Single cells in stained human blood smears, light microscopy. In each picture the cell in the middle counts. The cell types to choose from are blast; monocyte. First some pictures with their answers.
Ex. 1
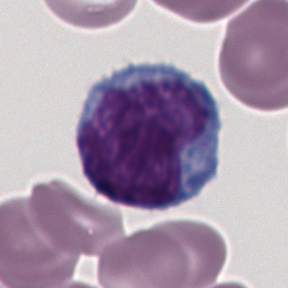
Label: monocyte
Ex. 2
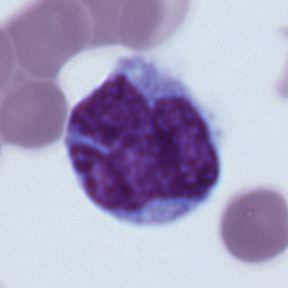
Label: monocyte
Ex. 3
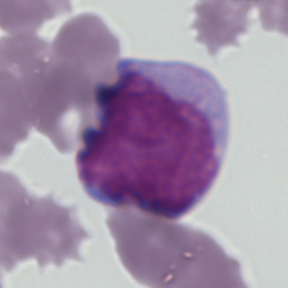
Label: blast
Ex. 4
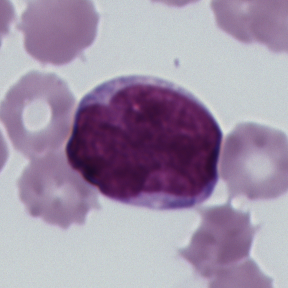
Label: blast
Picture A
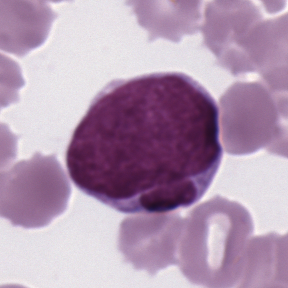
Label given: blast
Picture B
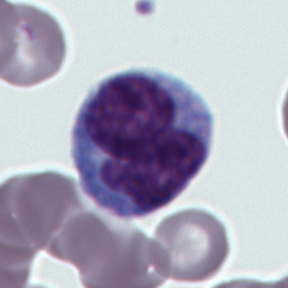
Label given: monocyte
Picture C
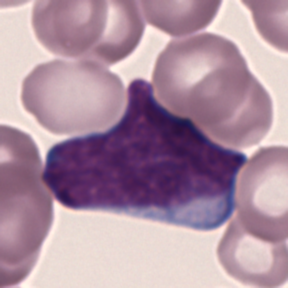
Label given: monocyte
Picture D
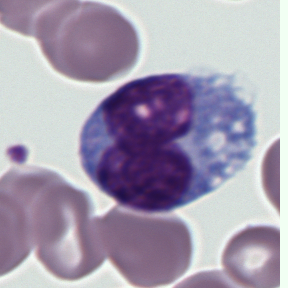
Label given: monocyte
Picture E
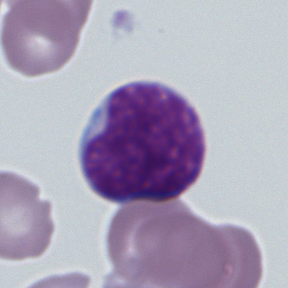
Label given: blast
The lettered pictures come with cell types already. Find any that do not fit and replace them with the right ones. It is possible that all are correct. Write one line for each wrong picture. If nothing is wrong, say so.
C should be blast, not monocyte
